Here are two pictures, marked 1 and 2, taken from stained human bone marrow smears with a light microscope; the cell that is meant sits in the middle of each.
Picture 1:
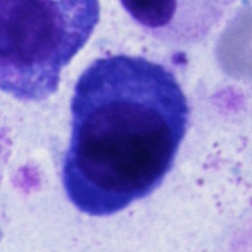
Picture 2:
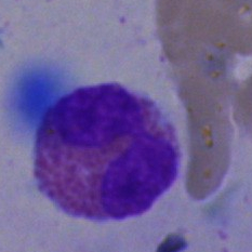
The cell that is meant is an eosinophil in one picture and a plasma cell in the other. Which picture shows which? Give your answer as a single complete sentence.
Picture 1 shows a plasma cell and picture 2 shows an eosinophil.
